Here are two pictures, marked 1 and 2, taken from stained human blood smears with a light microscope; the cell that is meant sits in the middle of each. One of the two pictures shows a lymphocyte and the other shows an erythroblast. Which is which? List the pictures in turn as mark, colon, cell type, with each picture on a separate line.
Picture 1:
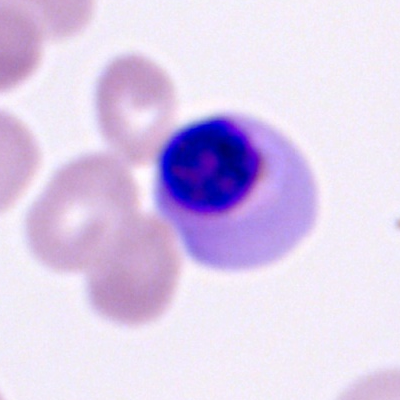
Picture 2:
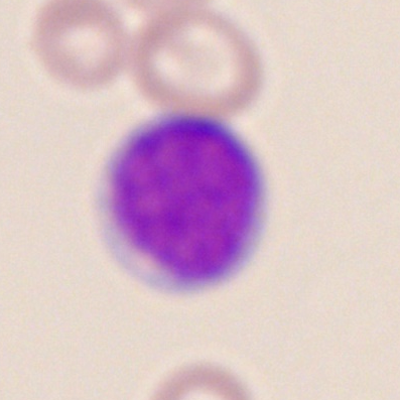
1: erythroblast
2: lymphocyte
